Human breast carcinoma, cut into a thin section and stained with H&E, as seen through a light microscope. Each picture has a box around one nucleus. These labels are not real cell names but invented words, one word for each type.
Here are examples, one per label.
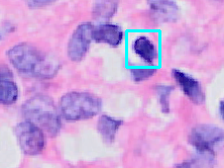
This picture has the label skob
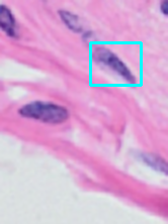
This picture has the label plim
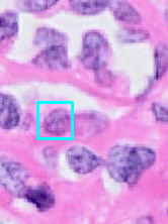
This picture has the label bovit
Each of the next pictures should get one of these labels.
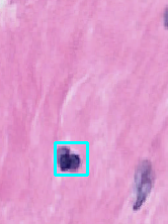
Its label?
skob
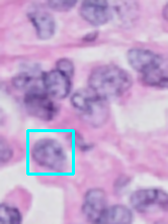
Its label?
bovit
